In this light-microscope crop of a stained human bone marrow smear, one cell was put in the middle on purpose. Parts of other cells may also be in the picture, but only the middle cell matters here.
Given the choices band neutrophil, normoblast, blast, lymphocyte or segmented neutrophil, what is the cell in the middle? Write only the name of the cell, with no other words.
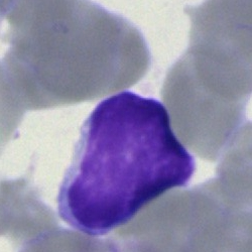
lymphocyte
